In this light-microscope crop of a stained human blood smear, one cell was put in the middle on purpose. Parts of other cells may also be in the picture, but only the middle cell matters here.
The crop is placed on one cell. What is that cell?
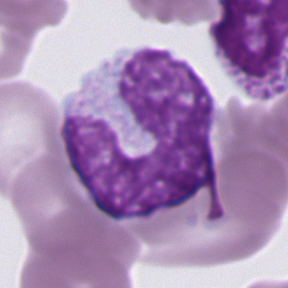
band neutrophil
